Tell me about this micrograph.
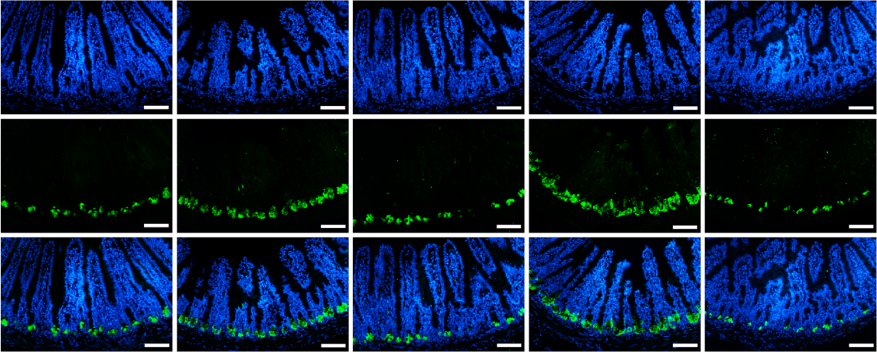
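In the blue nuclear views, tall finger-like projections rise from a denser basal band, and their outlines are traced by closely packed nuclei. In the green views, the label is gathered into small granular clusters that lie in a row at the bottom of the tissue, with little green higher up in the projections. In the merged views, these green clusters sit at the base, beneath the projections lined with blue nuclei. The clusters appear larger and more crowded in some columns than in others.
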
